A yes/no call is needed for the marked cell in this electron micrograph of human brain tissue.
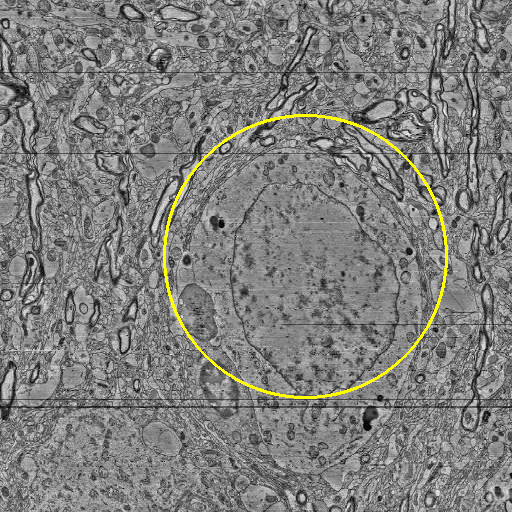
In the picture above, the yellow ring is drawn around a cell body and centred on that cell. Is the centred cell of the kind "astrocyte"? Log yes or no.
no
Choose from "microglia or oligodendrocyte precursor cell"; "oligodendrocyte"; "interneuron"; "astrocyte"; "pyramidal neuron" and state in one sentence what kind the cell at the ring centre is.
Instead, the ringed cell here is a pyramidal neuron.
